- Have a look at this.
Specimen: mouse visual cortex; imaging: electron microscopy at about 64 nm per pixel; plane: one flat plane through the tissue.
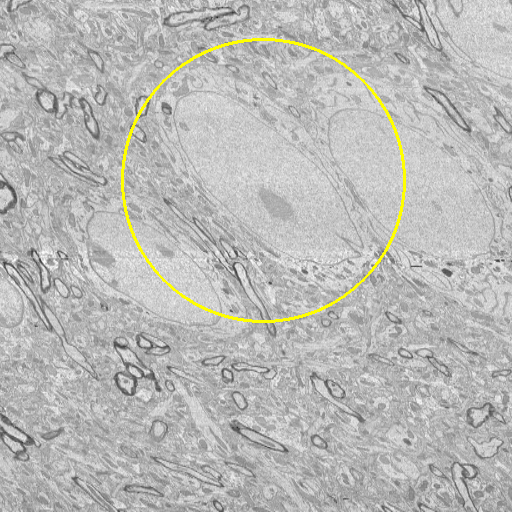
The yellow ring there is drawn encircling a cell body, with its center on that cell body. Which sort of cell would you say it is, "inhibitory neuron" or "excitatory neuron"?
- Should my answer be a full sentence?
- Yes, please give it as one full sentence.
For this picture, an excitatory neuron is the cell where the yellow ring has its center.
